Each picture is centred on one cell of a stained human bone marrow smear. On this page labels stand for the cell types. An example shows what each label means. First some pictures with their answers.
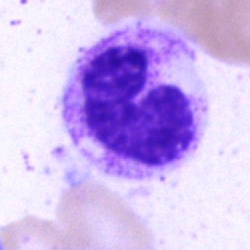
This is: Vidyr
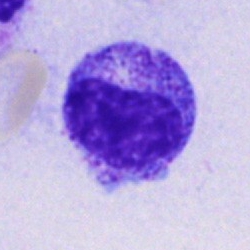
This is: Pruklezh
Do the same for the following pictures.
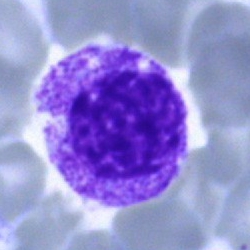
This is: Pruklezh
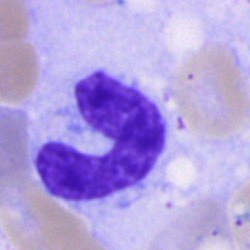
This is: Vidyr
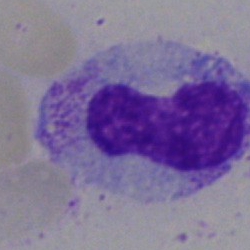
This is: Vidyr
